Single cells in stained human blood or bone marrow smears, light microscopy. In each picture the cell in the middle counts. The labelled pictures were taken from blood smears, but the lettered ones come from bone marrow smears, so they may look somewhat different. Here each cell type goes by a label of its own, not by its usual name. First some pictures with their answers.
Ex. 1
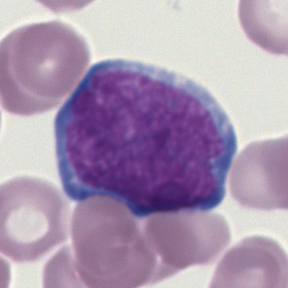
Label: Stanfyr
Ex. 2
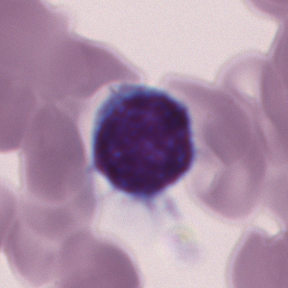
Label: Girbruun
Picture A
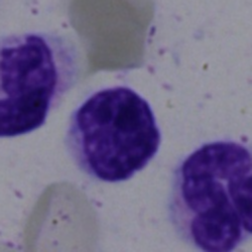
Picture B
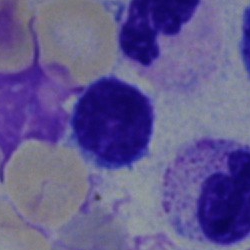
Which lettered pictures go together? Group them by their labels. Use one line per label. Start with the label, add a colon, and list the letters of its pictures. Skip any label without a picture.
Girbruun: A, B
